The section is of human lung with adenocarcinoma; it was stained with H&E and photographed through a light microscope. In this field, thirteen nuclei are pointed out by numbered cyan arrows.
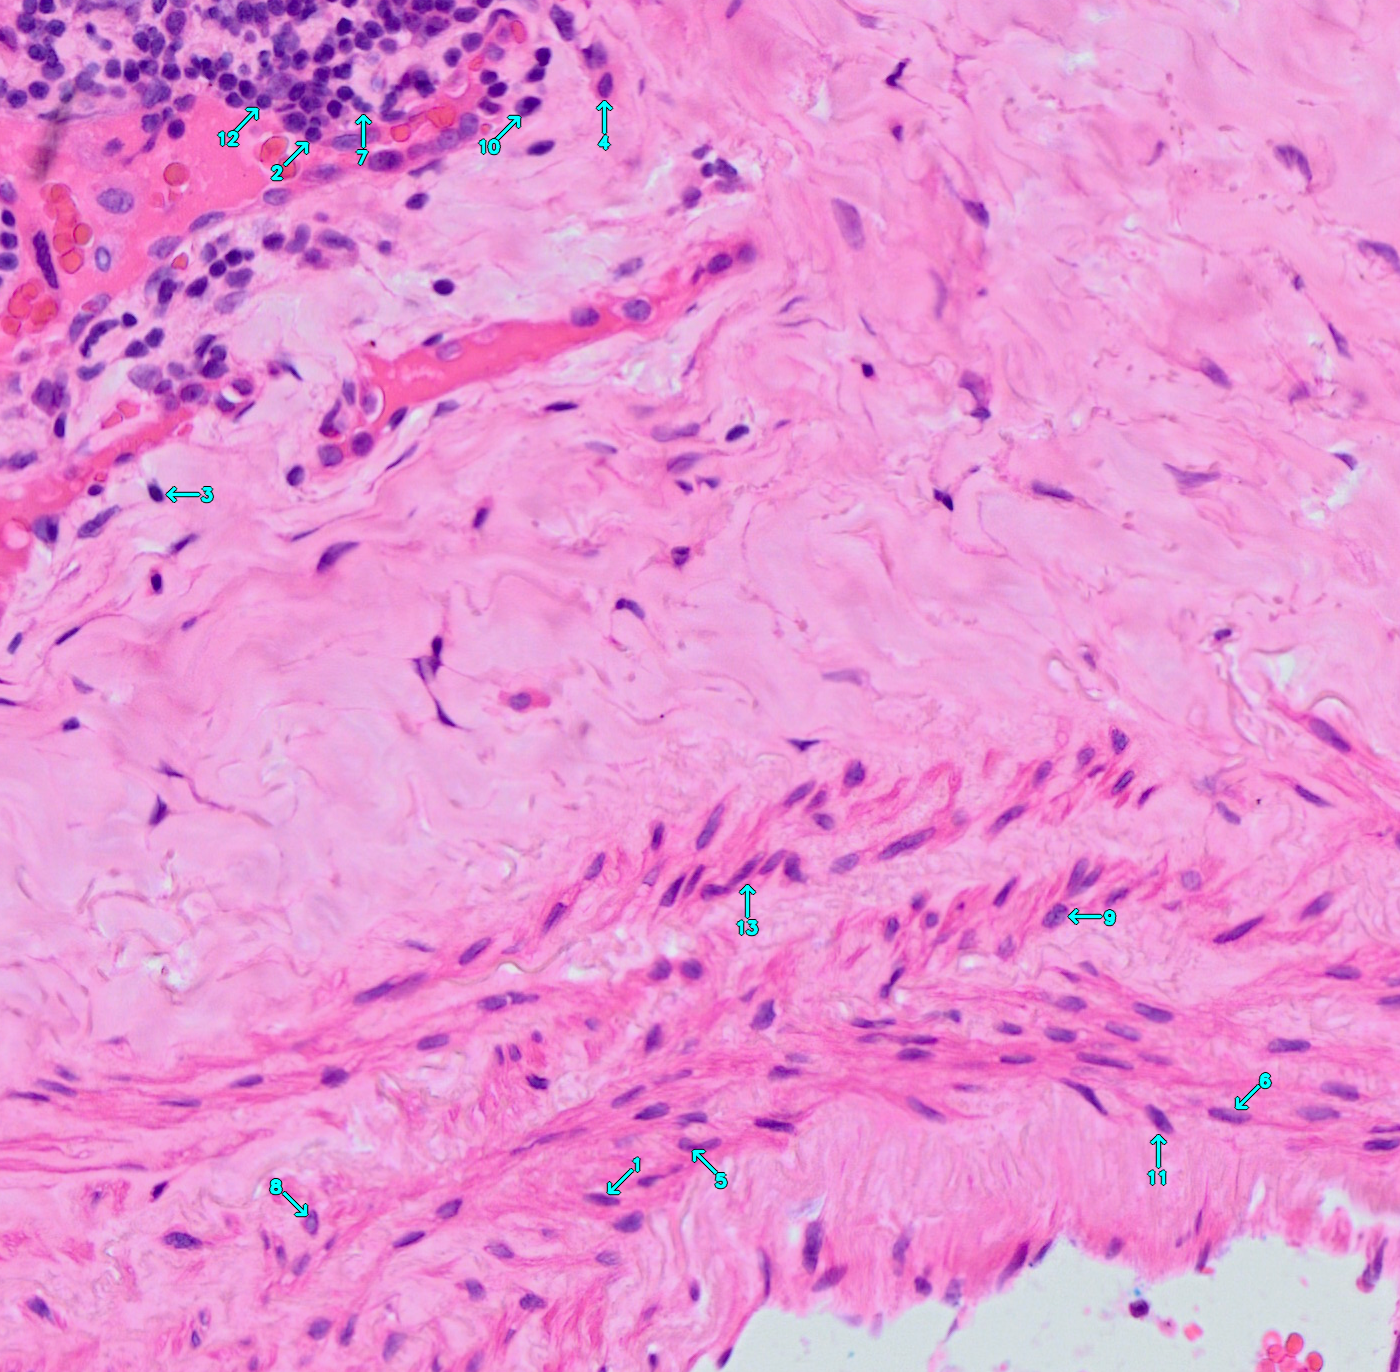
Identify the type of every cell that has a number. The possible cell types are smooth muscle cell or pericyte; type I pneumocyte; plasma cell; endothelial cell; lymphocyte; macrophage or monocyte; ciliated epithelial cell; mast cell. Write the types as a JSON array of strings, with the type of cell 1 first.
["smooth muscle cell or pericyte", "lymphocyte", "lymphocyte", "mast cell", "smooth muscle cell or pericyte", "smooth muscle cell or pericyte", "lymphocyte", "smooth muscle cell or pericyte", "smooth muscle cell or pericyte", "lymphocyte", "smooth muscle cell or pericyte", "lymphocyte", "smooth muscle cell or pericyte"]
